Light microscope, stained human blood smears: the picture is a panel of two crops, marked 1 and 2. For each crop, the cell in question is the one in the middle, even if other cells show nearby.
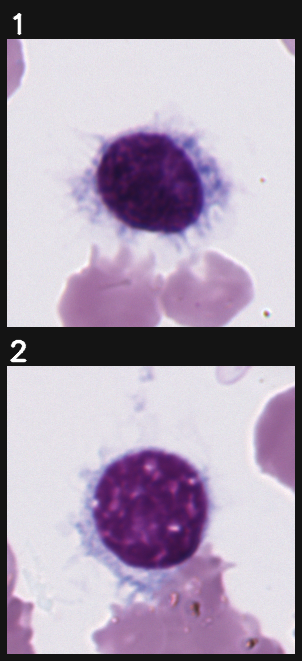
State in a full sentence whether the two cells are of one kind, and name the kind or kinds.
Yes, hairy cells lie at the centre of both crops.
